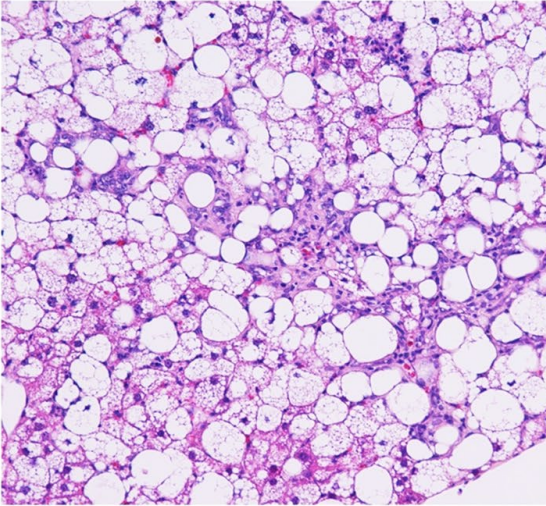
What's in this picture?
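This liver section is dominated by large, round to polygonal clear vacuoles that fill much of the tissue and crowd the hepatocytes. The remaining hepatocytes have pale, foamy cytoplasm full of small vacuoles, with purple nuclei often pushed aside. Between the large vacuoles lie clusters of small, dark nuclei in pink strands. The regular arrangement of cell plates is largely lost.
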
